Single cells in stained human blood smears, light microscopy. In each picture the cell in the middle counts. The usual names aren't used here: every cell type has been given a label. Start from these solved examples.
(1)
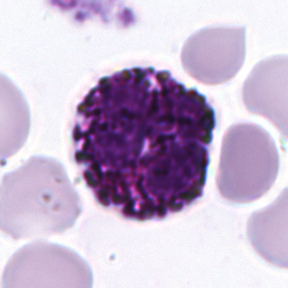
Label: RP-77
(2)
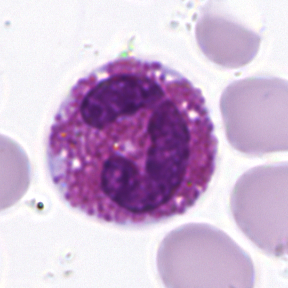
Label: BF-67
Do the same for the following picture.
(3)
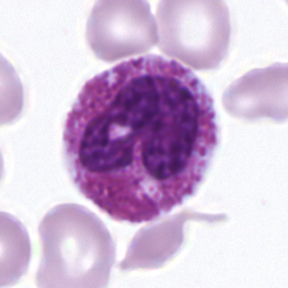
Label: BF-67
